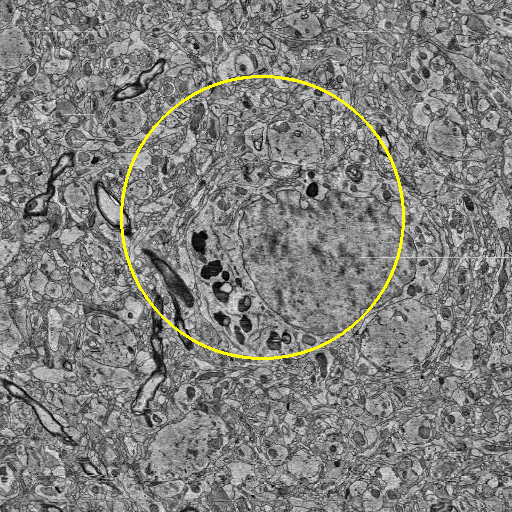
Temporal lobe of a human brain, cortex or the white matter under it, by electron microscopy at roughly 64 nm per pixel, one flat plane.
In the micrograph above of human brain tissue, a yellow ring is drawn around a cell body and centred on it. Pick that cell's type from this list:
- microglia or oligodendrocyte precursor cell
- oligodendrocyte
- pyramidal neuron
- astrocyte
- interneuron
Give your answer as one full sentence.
Going by the list, an interneuron is the cell on which the yellow ring is centred.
